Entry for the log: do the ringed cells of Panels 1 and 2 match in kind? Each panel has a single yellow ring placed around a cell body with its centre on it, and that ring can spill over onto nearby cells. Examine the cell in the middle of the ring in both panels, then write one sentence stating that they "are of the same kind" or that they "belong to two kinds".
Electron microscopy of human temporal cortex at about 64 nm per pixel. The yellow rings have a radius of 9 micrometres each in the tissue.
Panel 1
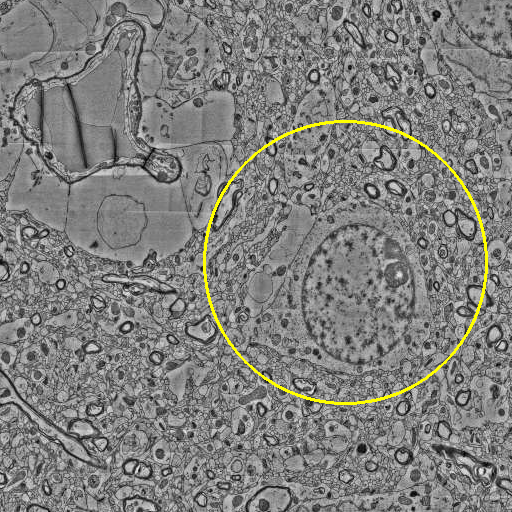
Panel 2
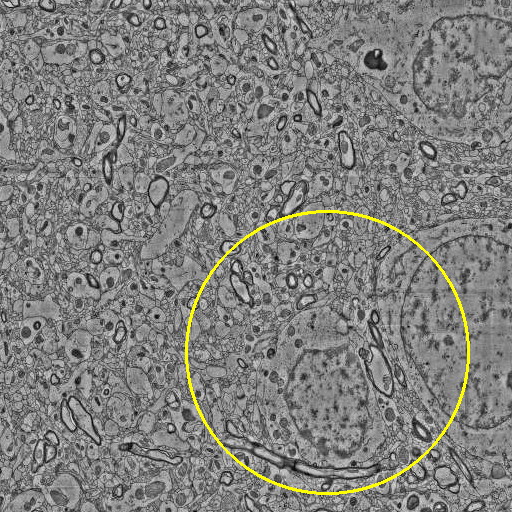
The centre cell of Panel 1's ring and that of Panel 2's ring are of the same kind.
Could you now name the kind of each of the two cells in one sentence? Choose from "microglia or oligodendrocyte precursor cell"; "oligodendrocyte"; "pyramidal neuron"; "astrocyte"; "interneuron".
Both rings mark an interneuron, one in each picture.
